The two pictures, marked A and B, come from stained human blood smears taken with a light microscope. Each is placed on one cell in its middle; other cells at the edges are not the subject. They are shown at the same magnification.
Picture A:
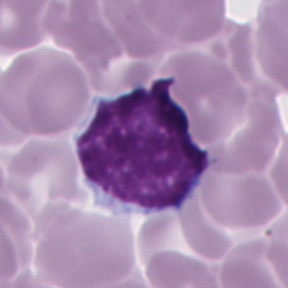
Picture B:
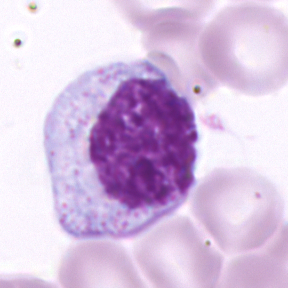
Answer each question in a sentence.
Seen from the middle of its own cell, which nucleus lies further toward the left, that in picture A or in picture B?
It is the nucleus in picture A that lies further toward the left of its cell.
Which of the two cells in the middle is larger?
It is the cell in picture B, about 1.5 times as large in area as the cell in picture A.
